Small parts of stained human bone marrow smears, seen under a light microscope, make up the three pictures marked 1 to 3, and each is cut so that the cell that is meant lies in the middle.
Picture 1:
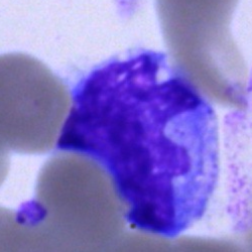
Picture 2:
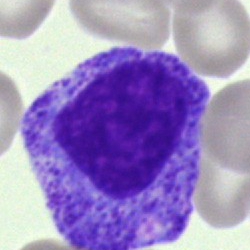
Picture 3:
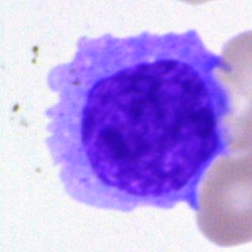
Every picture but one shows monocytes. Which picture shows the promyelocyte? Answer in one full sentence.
The promyelocyte is the one in picture 2.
